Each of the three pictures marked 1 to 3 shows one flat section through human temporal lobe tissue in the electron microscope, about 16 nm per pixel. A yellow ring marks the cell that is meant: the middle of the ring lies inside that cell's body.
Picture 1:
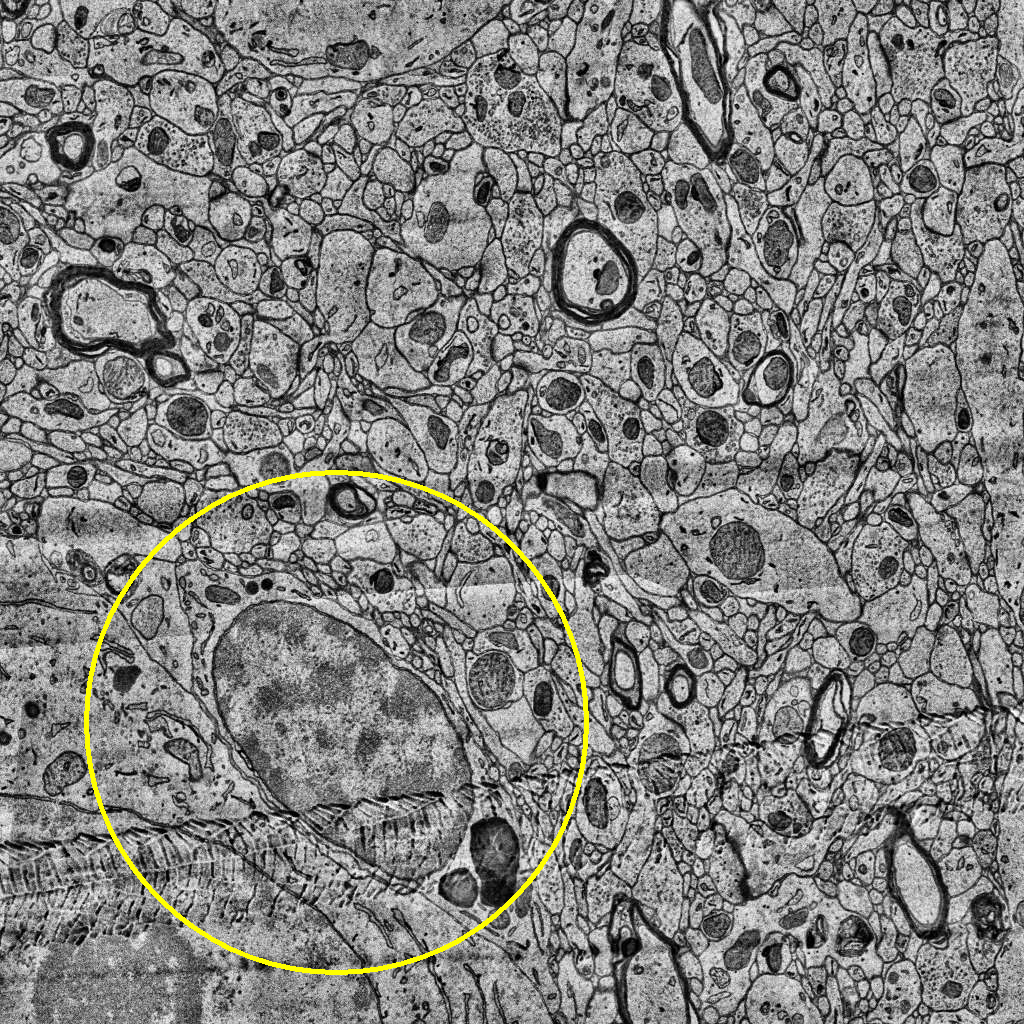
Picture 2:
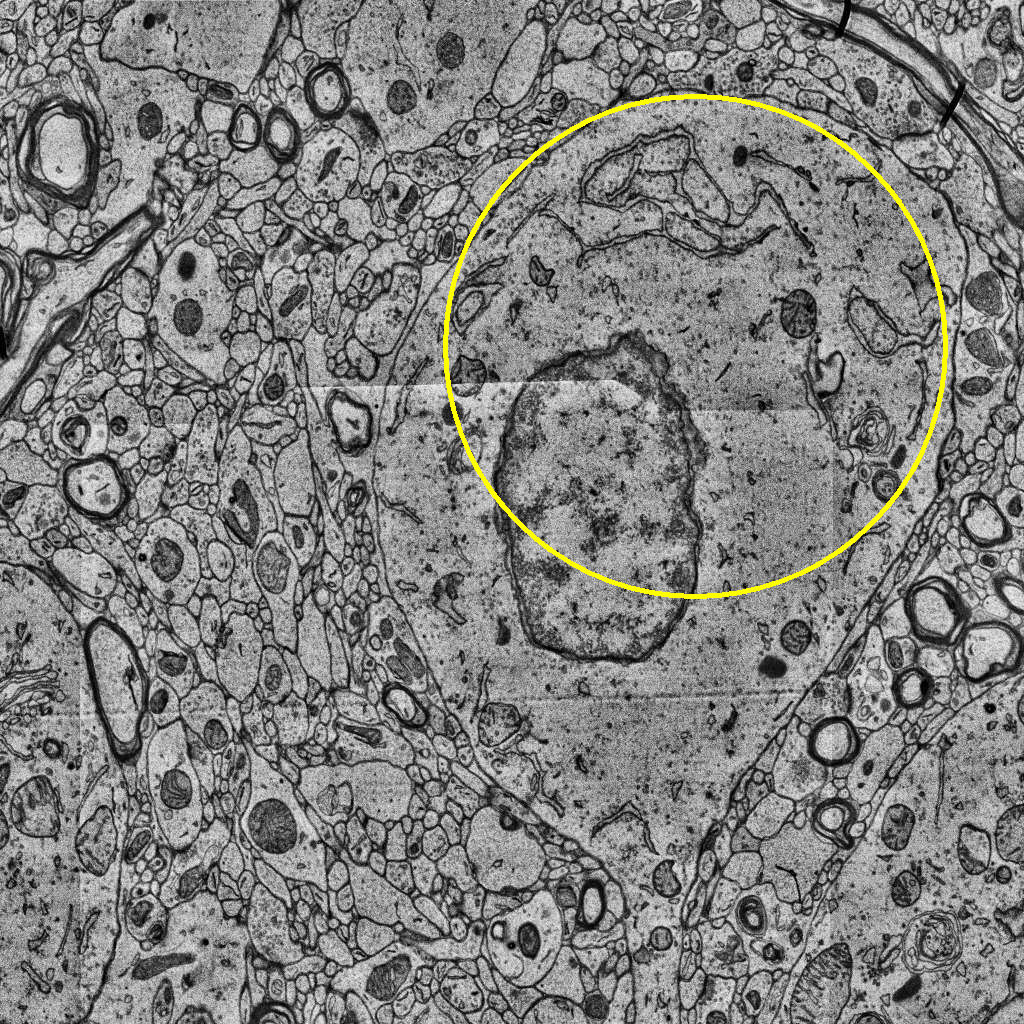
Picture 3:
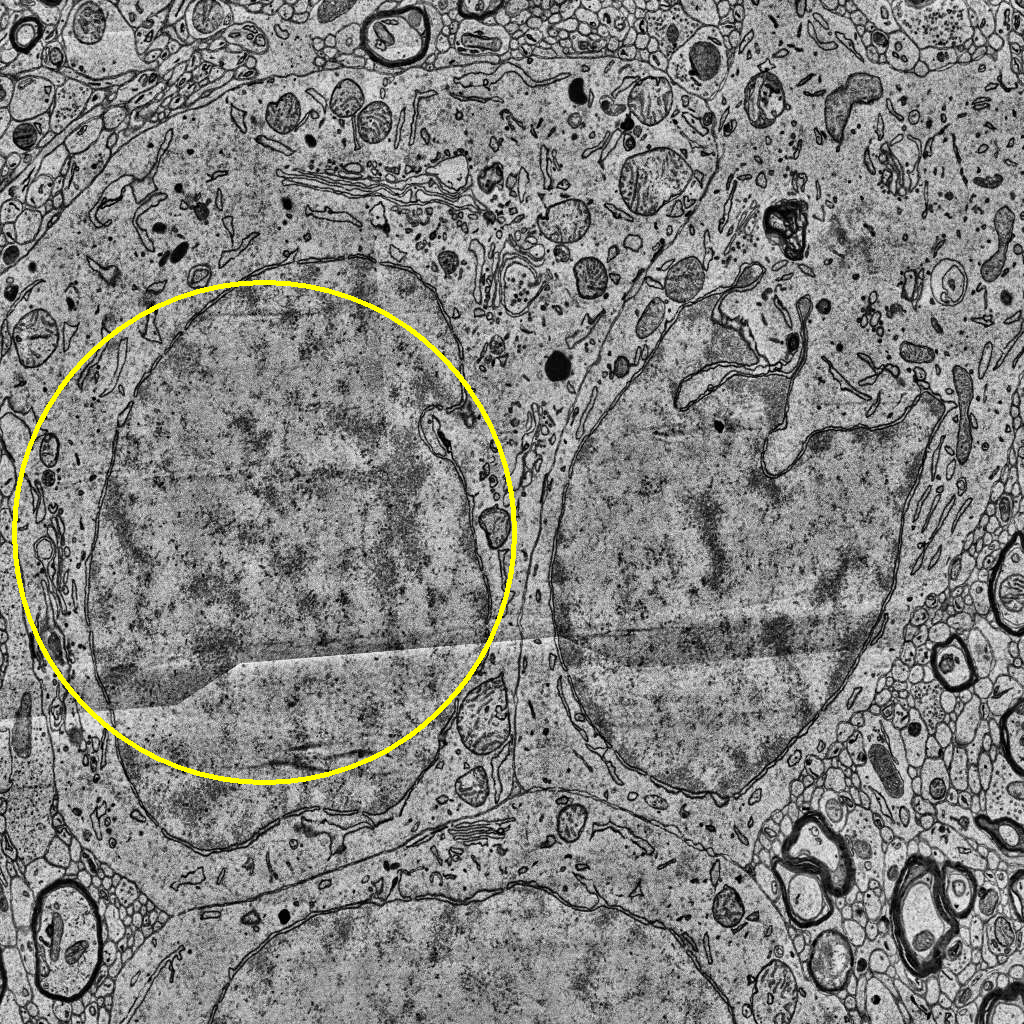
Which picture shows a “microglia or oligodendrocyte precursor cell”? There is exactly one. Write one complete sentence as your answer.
The cell in picture 1 is the “microglia or oligodendrocyte precursor cell”.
